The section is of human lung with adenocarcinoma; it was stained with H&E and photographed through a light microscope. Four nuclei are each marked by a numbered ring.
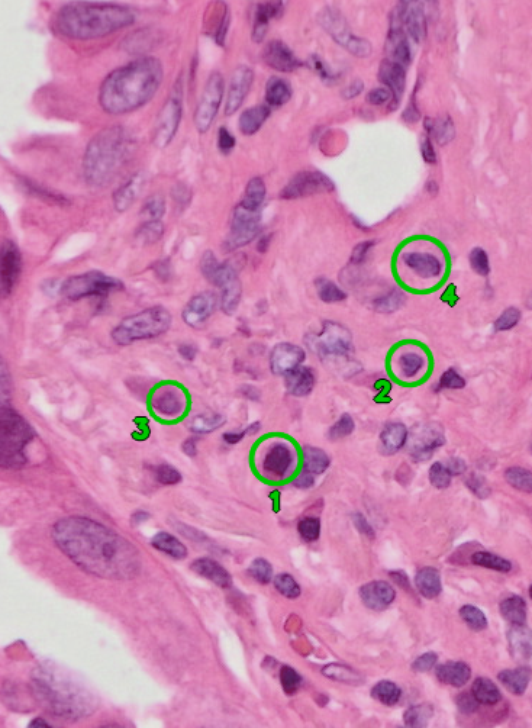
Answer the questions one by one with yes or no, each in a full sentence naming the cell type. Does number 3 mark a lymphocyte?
No, not a lymphocyte: the cell with number 3 is a plasma cell.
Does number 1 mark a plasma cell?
Yes, that is so; number 1 marks a plasma cell.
